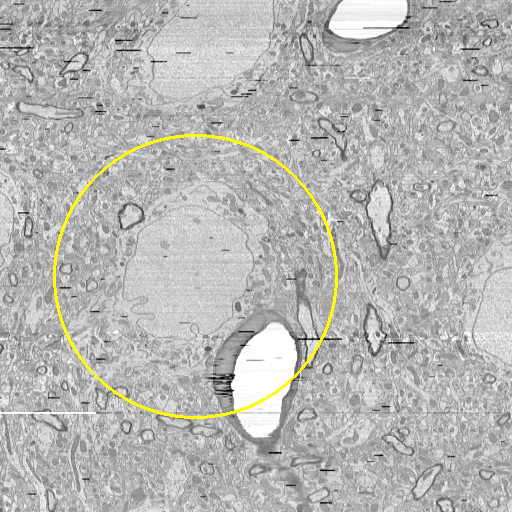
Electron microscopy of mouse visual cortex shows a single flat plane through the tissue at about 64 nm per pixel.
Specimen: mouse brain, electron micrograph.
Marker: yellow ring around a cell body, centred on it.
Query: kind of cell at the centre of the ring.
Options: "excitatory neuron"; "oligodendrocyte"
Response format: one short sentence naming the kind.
This cell body belongs to an excitatory neuron.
